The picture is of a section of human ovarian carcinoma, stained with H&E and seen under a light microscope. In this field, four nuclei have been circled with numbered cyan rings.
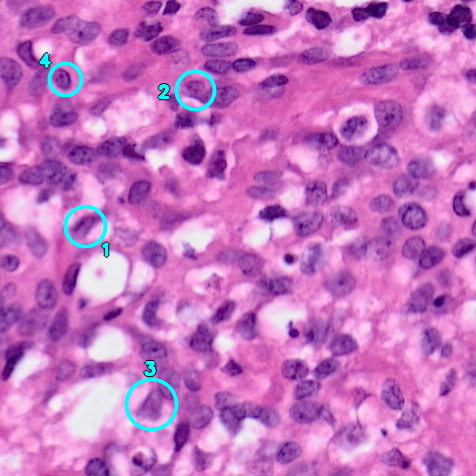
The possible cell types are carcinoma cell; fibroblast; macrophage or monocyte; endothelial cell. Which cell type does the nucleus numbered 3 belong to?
carcinoma cell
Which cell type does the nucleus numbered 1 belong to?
carcinoma cell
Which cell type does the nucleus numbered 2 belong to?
carcinoma cell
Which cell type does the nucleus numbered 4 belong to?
macrophage or monocyte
